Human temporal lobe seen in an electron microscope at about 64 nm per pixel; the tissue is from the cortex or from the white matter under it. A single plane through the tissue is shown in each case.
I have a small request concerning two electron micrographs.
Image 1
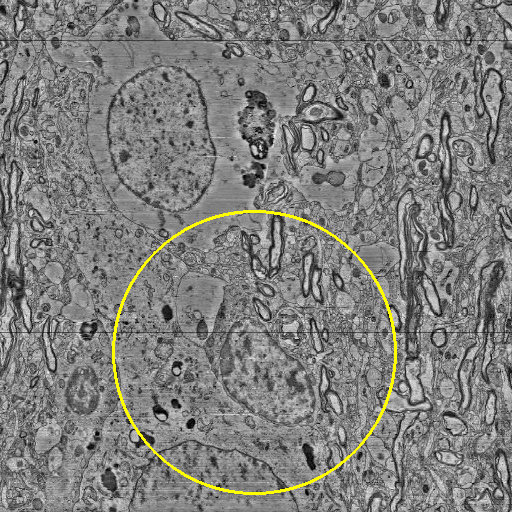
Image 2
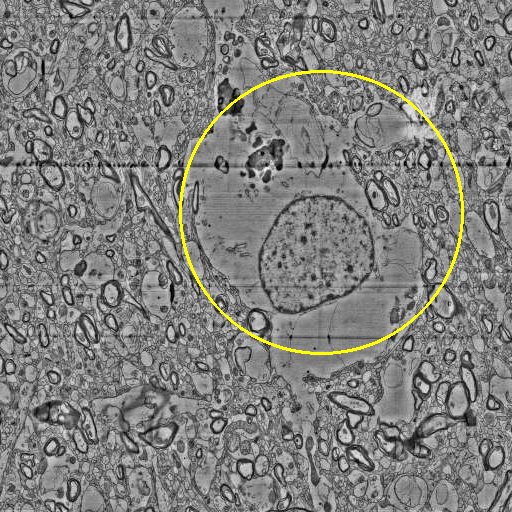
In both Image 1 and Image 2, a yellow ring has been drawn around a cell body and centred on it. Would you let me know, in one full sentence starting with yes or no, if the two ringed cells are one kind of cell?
No, the cells ringed in Image 1 and Image 2 are two kinds of cell.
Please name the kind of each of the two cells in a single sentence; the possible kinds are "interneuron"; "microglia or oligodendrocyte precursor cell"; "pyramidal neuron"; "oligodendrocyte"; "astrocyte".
In the first picture the ring is centred on an oligodendrocyte, and in the second on an astrocyte.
